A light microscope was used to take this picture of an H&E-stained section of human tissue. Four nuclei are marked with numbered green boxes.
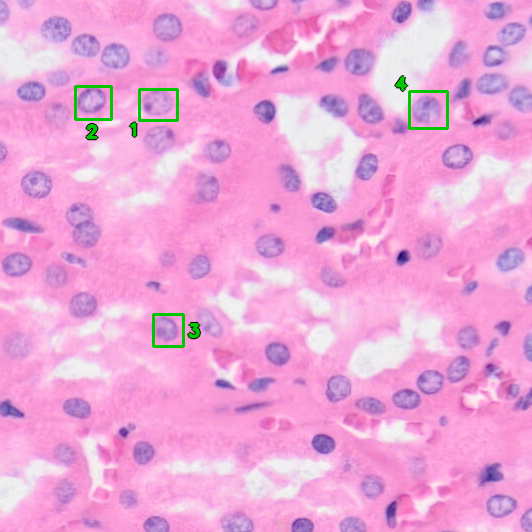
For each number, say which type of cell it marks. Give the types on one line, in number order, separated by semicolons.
proximal tubule cell; proximal tubule cell; proximal tubule cell; loop of Henle or distal tubule cell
